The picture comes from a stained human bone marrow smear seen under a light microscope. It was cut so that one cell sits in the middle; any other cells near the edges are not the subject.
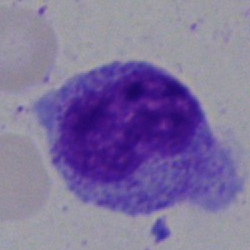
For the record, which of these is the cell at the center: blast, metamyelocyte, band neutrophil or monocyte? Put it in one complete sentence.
At the center of the crop sits a metamyelocyte.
